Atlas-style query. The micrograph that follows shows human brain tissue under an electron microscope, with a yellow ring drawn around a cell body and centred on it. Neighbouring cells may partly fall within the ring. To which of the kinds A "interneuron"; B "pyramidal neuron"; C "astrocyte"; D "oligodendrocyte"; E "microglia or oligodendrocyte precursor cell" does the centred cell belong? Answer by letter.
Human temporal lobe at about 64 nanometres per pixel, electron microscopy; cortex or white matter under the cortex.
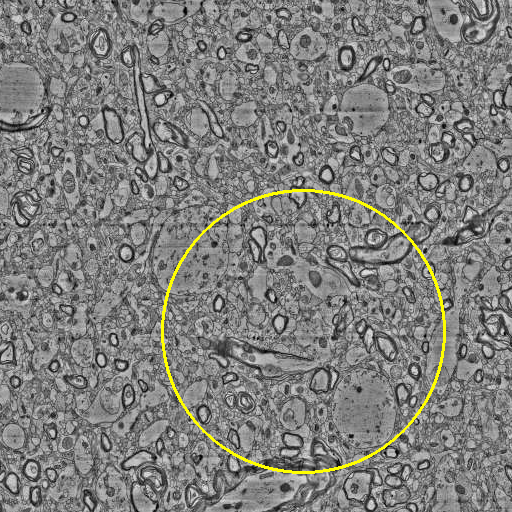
E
